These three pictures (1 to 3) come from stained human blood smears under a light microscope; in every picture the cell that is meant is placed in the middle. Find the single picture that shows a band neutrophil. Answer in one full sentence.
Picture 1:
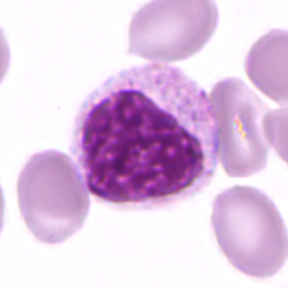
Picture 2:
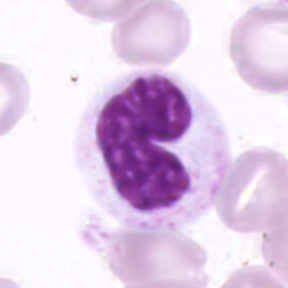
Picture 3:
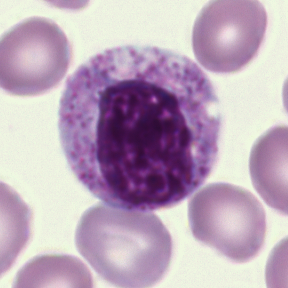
The cell in picture 2 is the band neutrophil.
